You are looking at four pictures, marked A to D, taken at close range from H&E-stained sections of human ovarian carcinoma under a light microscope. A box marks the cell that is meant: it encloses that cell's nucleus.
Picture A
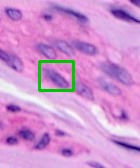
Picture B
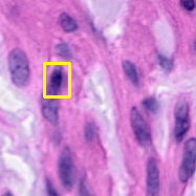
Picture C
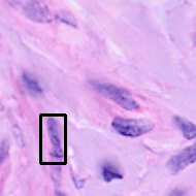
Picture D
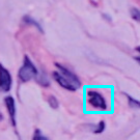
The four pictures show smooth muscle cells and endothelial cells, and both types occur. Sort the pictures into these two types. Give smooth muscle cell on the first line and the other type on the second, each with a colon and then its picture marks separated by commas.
smooth muscle cell: A, B, C
endothelial cell: D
